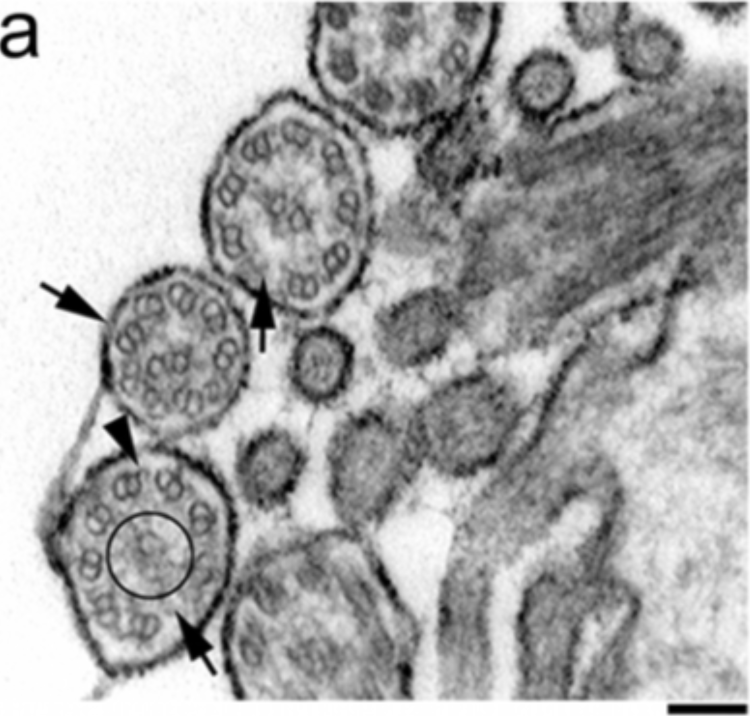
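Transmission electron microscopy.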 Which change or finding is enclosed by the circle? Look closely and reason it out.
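The circled centre of the cross-section lacks the two distinct central microtubule rings. The outer ring of doublets surrounds the circled region.
Answer: absence of a central microtubule pair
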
